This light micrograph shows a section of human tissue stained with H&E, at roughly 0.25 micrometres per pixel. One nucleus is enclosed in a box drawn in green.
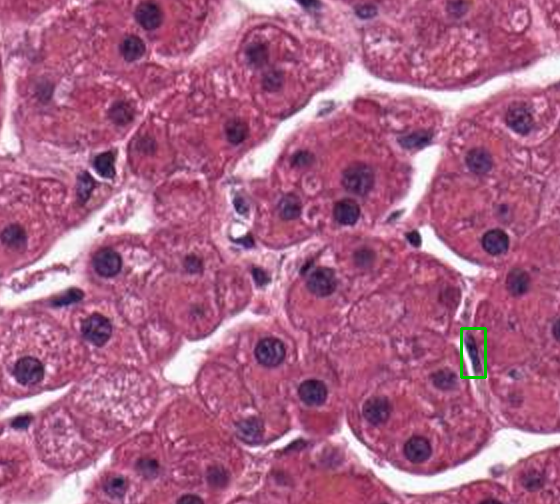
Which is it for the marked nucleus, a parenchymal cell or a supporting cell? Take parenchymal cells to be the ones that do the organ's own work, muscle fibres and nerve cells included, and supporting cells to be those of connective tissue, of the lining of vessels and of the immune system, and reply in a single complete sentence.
Held by a supporting cell is the marked nucleus in this section.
